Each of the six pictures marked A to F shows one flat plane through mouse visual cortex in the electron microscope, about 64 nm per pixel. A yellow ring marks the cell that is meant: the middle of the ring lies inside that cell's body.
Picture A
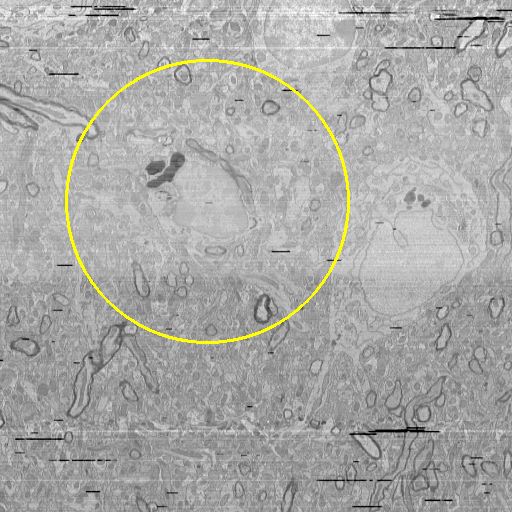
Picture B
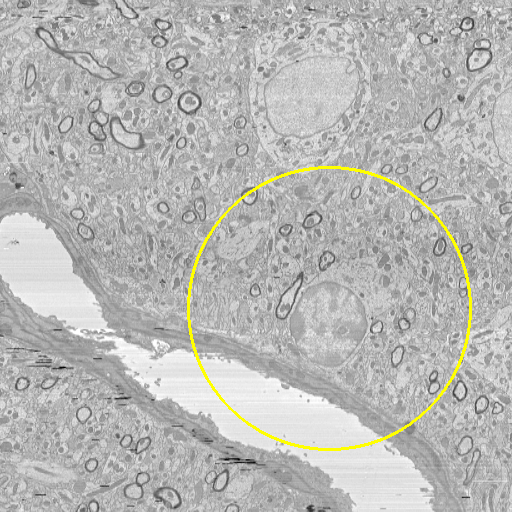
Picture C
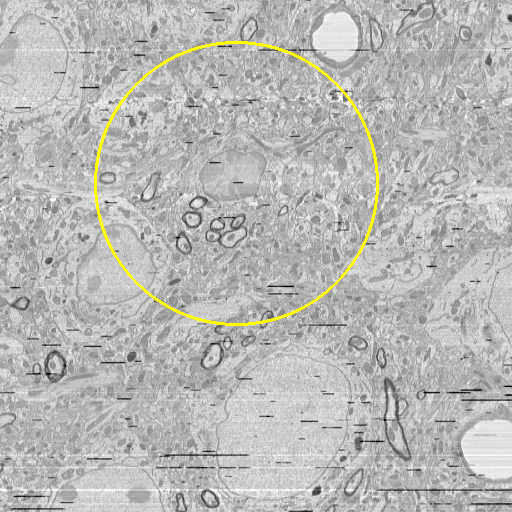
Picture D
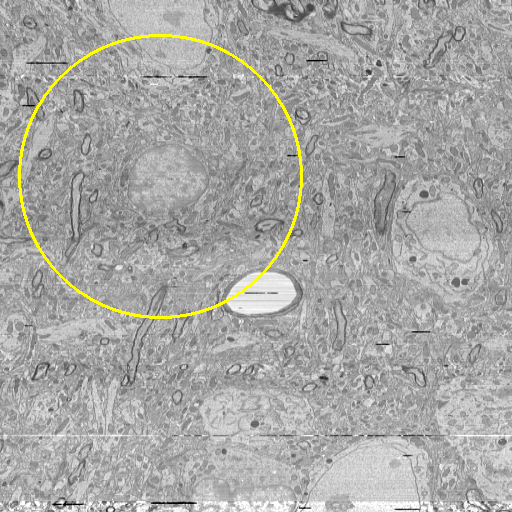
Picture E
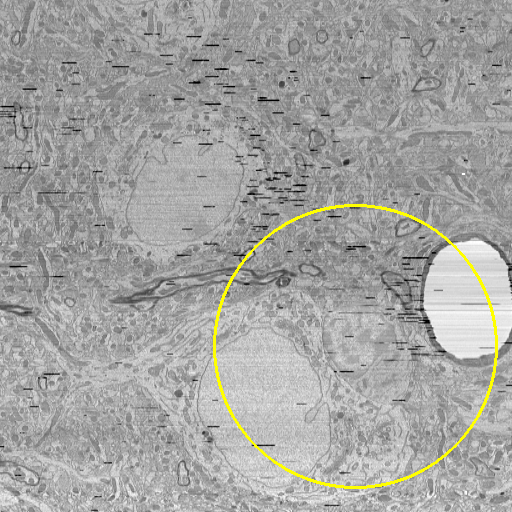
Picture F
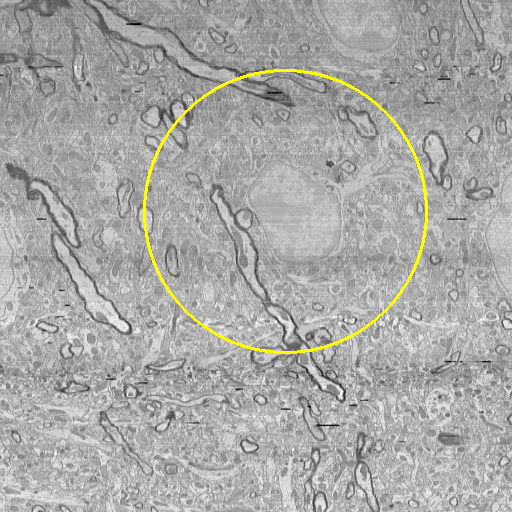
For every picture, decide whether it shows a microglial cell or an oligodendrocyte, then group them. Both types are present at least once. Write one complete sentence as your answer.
Pictures A, C and F show microglial cells, while pictures B, D and E show oligodendrocytes.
